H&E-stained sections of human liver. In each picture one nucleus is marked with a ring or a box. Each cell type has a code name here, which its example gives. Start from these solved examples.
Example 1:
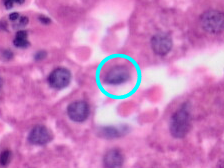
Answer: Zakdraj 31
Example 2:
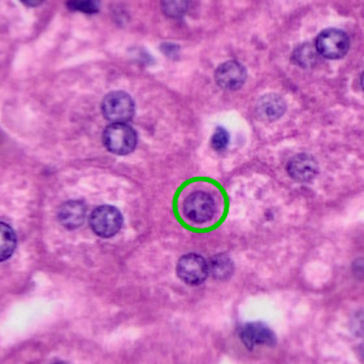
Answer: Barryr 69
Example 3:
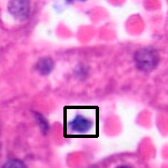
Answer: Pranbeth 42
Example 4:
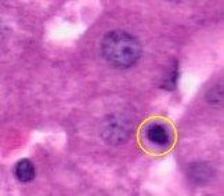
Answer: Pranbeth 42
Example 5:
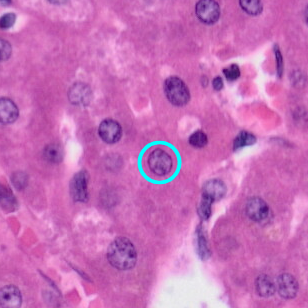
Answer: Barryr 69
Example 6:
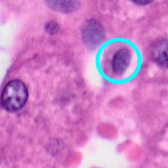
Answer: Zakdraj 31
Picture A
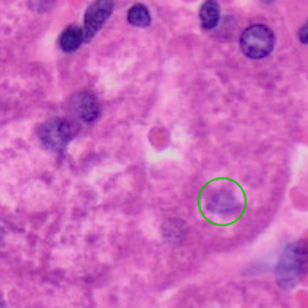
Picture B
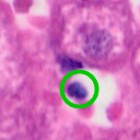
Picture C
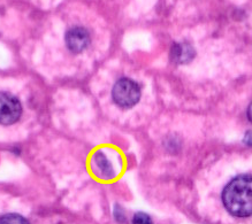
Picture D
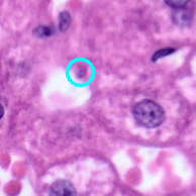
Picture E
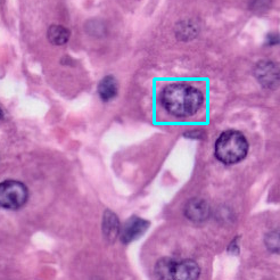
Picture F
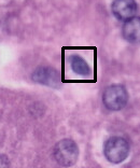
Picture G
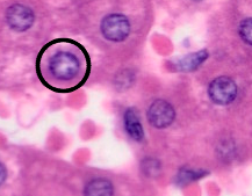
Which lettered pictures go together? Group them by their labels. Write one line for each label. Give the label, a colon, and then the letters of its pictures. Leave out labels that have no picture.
Zakdraj 31: C, D
Barryr 69: A, E, G
Pranbeth 42: B, F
